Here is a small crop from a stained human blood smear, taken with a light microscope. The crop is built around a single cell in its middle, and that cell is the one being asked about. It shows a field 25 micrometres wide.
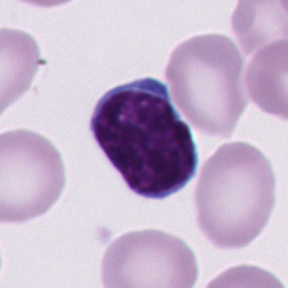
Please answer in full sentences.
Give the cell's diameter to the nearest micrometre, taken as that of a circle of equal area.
It measures about 10 micrometres across.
